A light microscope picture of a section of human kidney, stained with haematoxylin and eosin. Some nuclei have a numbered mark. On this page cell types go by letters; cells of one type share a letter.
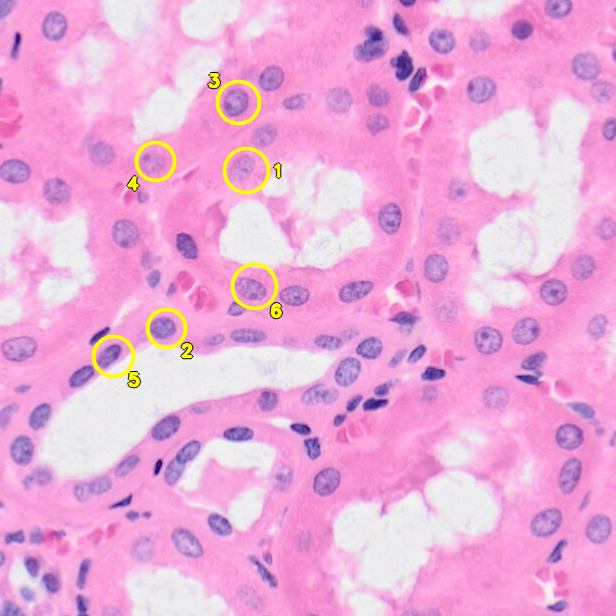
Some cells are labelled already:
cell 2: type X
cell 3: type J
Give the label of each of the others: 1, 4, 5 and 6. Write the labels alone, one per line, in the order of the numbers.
type J
type J
type X
type J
